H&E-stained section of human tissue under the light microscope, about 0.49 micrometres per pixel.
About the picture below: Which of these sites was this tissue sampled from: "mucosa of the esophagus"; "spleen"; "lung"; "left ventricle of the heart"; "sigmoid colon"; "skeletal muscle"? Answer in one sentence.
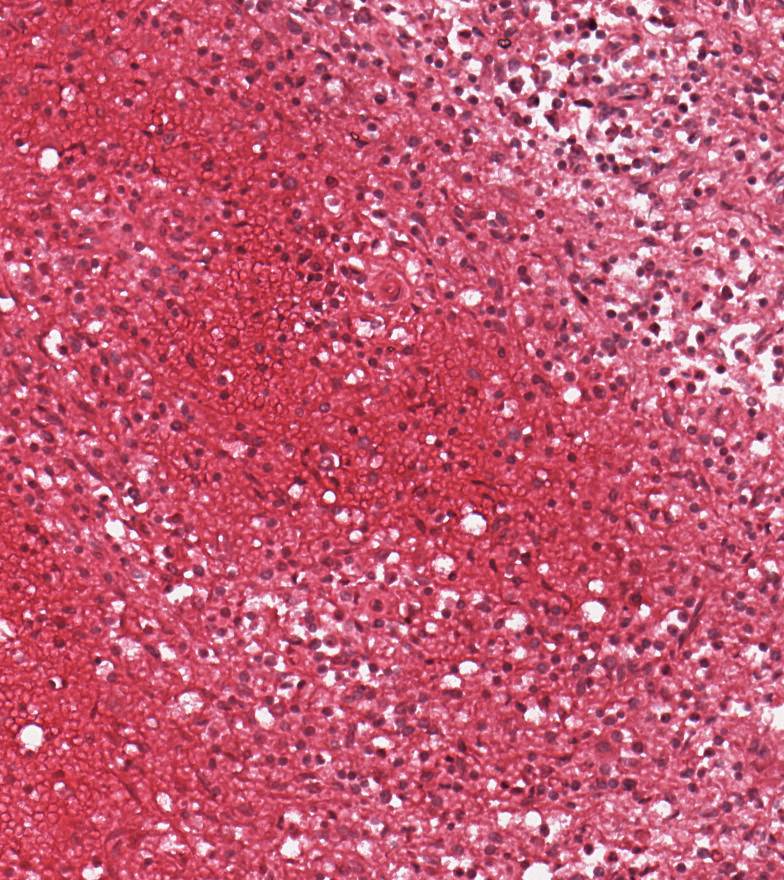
The site this tissue was sampled from is the spleen.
